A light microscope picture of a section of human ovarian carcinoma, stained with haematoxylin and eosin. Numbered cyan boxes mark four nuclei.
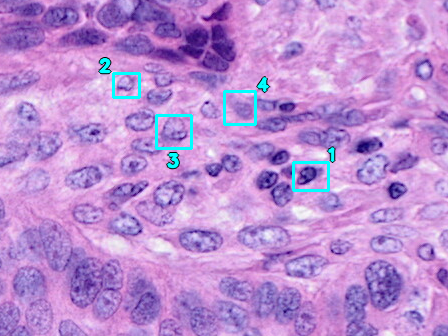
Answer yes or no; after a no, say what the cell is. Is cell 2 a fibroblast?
Yes.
